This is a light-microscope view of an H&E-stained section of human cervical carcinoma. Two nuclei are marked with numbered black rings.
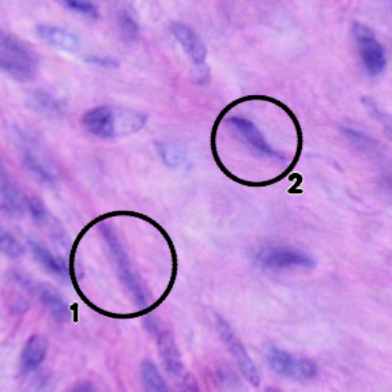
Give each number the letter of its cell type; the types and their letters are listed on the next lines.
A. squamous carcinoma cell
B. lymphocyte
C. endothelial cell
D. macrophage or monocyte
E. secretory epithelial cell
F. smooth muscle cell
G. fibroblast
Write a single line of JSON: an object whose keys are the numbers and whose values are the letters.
{"1": "F", "2": "G"}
